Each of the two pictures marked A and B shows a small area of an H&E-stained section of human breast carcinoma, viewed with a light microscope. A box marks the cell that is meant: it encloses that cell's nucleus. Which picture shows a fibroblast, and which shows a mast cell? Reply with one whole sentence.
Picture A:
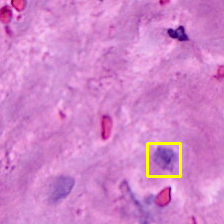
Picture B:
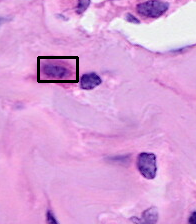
It is picture A that shows a fibroblast, and picture B that shows a mast cell.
